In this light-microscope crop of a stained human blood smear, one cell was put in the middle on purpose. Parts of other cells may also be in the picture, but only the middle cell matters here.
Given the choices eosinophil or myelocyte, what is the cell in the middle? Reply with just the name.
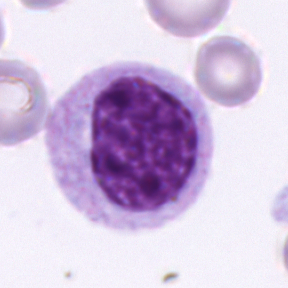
myelocyte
